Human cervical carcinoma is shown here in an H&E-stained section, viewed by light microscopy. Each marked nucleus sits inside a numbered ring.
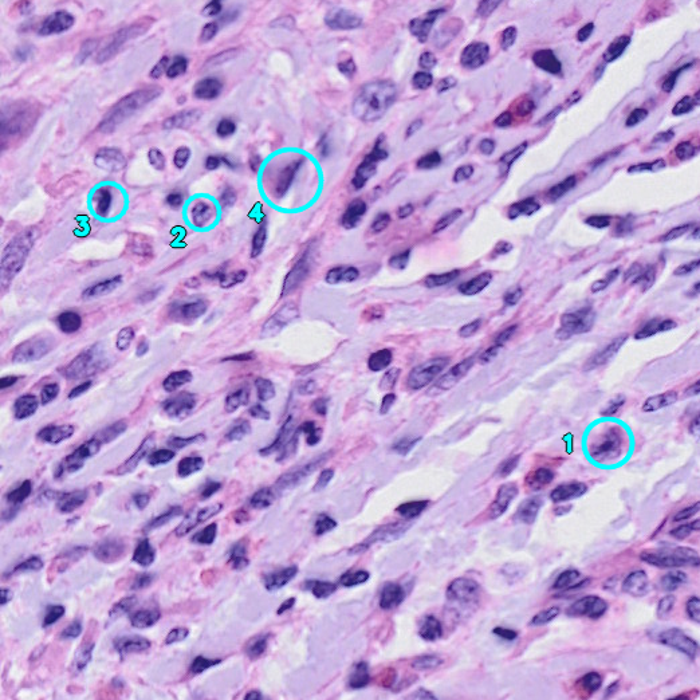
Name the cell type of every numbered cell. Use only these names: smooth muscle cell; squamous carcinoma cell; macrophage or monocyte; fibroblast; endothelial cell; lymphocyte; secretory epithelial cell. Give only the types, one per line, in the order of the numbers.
macrophage or monocyte
lymphocyte
lymphocyte
macrophage or monocyte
